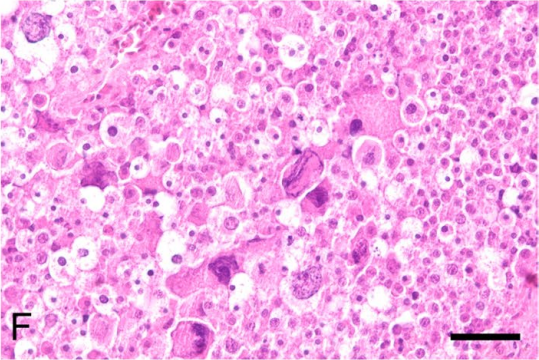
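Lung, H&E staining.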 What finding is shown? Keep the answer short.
solidly arranged tumour cells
